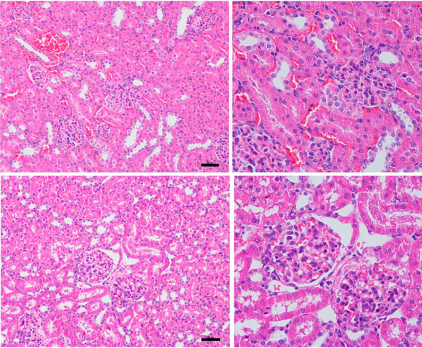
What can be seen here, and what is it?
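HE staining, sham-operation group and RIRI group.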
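Around the glomeruli are cross- and oblique sections of tubules. These are lined by cuboidal cells with pink, granular cytoplasm and round purple nuclei, surrounding pale or open lumens. In places the spaces between tubules hold red blood cells, showing congested capillaries. Viewed at higher magnification, the glomerular tufts and the surrounding tubular epithelium are clearer.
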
